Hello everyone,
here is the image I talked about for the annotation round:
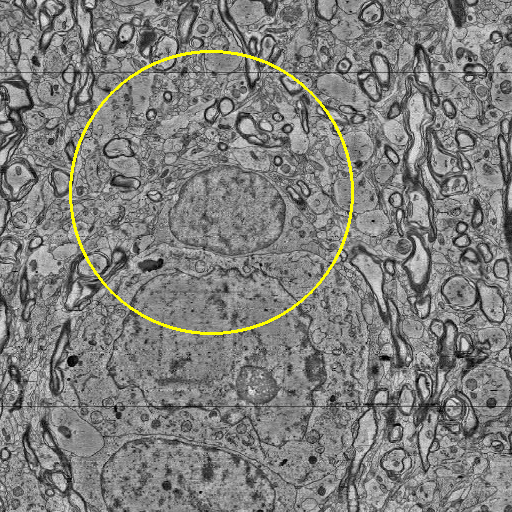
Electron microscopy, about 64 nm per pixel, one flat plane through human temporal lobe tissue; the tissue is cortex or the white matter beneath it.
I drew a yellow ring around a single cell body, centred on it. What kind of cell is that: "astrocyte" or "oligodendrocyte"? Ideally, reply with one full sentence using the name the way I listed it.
The cell your yellow ring is centred on is an oligodendrocyte, going by your list.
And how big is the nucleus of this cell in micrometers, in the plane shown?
The ringed cell's nucleus is about 7 micrometres long and 6 micrometres wide in this plane.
